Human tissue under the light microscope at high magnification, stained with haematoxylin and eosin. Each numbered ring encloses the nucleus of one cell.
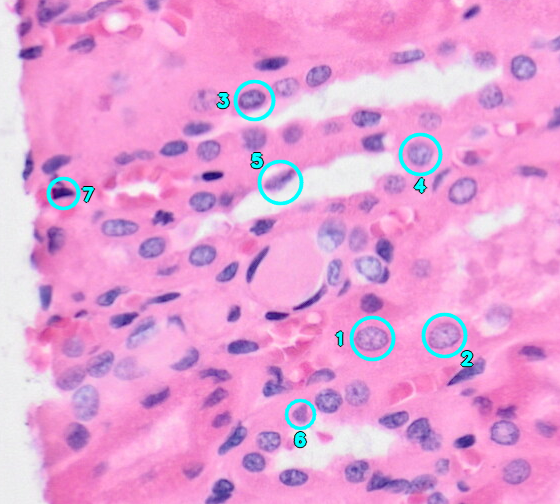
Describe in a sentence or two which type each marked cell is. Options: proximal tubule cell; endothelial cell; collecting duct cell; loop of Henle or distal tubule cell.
Cells 1 and 2 are proximal tubule cells. Cells 3, 4, 5 and 6 are loop of Henle or distal tubule cells. Cell 7 is an endothelial cell.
